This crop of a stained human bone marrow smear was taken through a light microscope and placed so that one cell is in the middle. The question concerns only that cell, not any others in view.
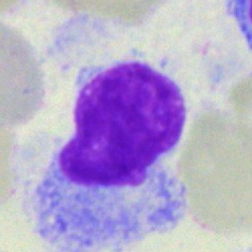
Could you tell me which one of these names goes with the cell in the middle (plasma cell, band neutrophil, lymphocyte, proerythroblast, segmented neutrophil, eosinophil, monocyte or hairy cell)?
hairy cell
